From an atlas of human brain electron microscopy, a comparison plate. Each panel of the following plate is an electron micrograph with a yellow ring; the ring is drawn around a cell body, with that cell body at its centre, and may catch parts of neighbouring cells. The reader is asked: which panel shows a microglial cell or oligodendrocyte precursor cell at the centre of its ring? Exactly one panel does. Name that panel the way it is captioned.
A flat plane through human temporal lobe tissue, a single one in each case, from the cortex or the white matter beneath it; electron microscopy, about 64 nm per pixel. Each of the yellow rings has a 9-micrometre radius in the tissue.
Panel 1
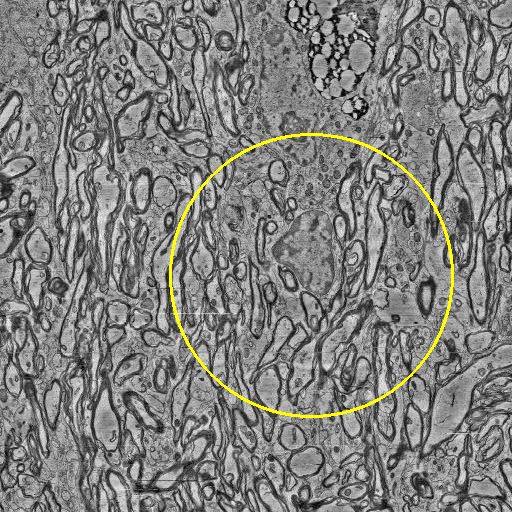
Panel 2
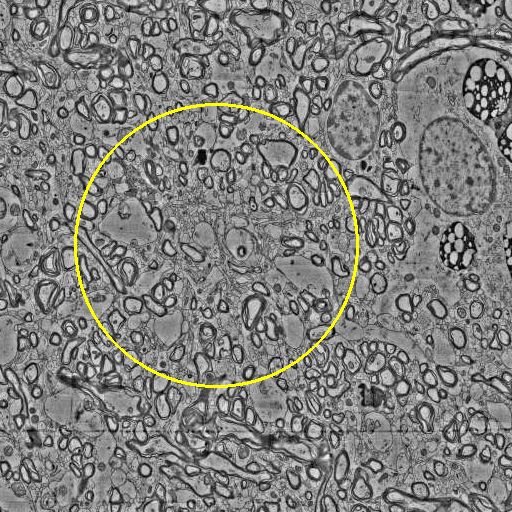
Panel 1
